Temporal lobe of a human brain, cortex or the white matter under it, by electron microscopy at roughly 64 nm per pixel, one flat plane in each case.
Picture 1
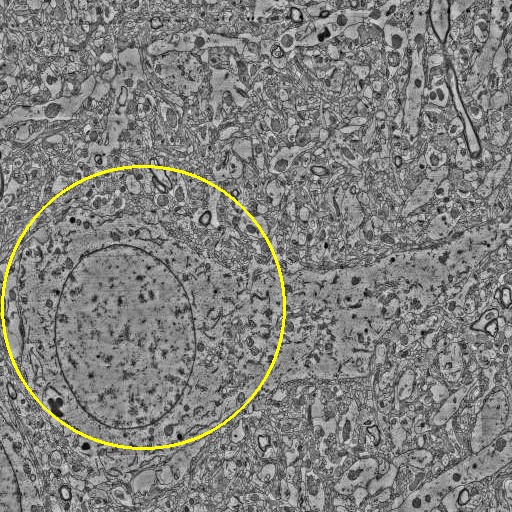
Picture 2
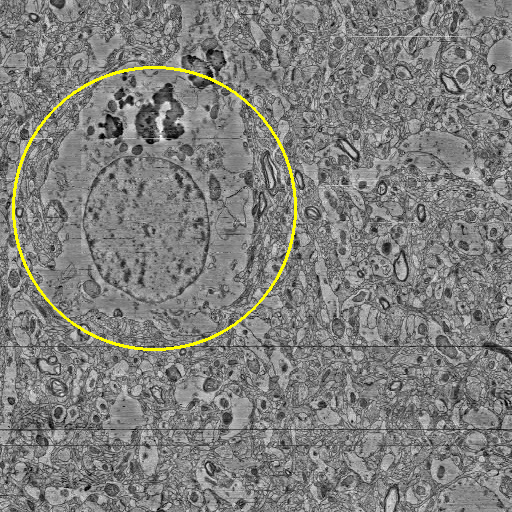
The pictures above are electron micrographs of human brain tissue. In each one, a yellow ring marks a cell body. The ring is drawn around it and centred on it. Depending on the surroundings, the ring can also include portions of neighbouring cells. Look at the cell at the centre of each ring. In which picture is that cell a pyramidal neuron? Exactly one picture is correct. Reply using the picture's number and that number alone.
1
